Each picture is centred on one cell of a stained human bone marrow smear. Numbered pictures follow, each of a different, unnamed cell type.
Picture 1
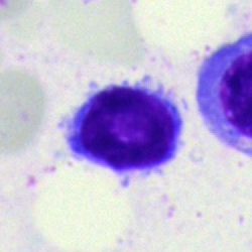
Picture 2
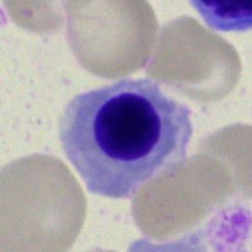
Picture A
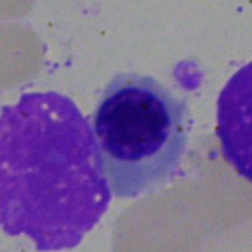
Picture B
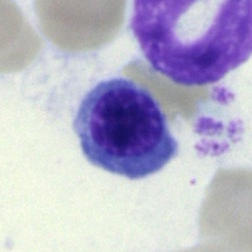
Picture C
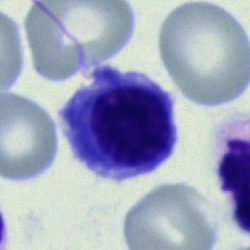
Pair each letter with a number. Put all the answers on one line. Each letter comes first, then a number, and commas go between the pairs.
A 2, B 2, C 2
